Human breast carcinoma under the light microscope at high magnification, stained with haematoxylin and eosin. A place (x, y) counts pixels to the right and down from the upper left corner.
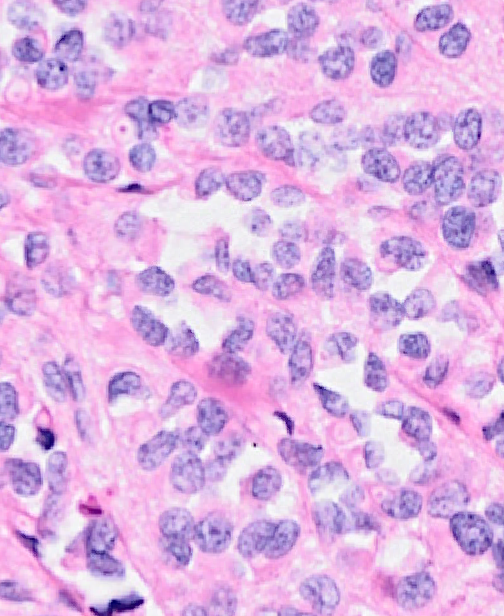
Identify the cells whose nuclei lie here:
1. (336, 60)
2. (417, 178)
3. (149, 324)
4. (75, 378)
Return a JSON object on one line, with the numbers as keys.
{"1": "carcinoma cell", "2": "carcinoma cell", "3": "carcinoma cell", "4": "endothelial cell"}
